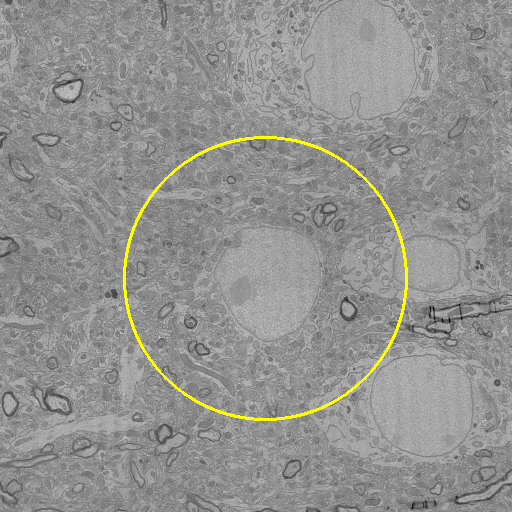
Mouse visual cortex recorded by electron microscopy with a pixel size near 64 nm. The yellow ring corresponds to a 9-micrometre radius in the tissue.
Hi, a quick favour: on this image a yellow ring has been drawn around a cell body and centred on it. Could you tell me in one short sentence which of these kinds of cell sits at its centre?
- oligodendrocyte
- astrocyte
The ring is centred on an astrocyte.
